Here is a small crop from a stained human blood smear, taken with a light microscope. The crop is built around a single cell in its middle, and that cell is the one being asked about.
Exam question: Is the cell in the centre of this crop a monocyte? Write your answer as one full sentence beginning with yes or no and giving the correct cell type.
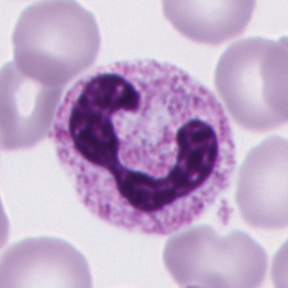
No, the central cell is classed as a neutrophil, not a monocyte.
